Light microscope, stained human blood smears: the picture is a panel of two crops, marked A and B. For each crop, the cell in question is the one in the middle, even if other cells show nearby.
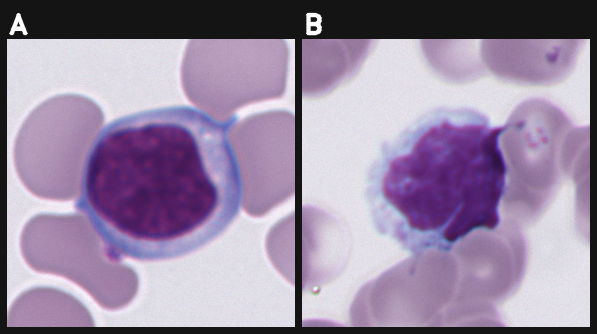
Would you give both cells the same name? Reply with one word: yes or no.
yes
